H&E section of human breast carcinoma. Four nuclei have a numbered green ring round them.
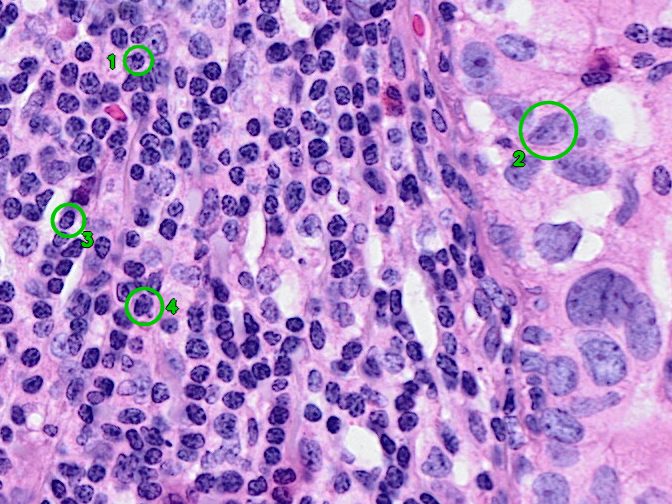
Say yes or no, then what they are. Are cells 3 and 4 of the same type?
Yes, both are lymphocytes.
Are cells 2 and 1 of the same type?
No, cell 2 is a carcinoma cell and cell 1 is a lymphocyte.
